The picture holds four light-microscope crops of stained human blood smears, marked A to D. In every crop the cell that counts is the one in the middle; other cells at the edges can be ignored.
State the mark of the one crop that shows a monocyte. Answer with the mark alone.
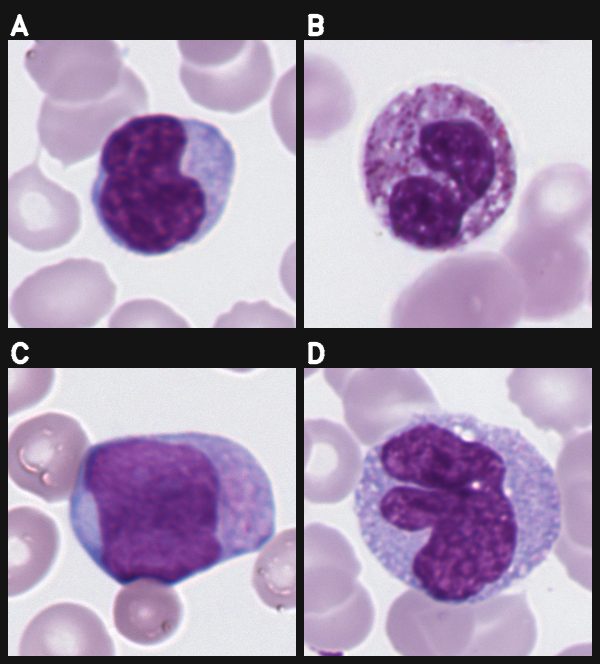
D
